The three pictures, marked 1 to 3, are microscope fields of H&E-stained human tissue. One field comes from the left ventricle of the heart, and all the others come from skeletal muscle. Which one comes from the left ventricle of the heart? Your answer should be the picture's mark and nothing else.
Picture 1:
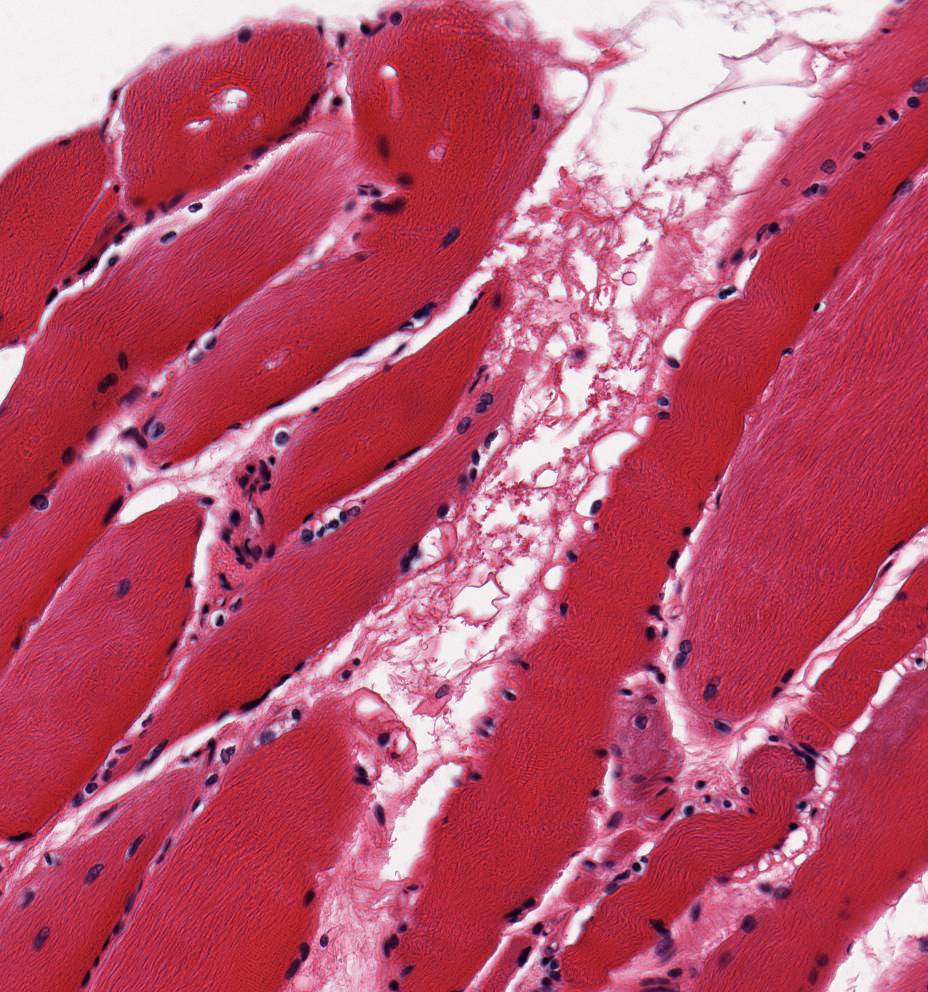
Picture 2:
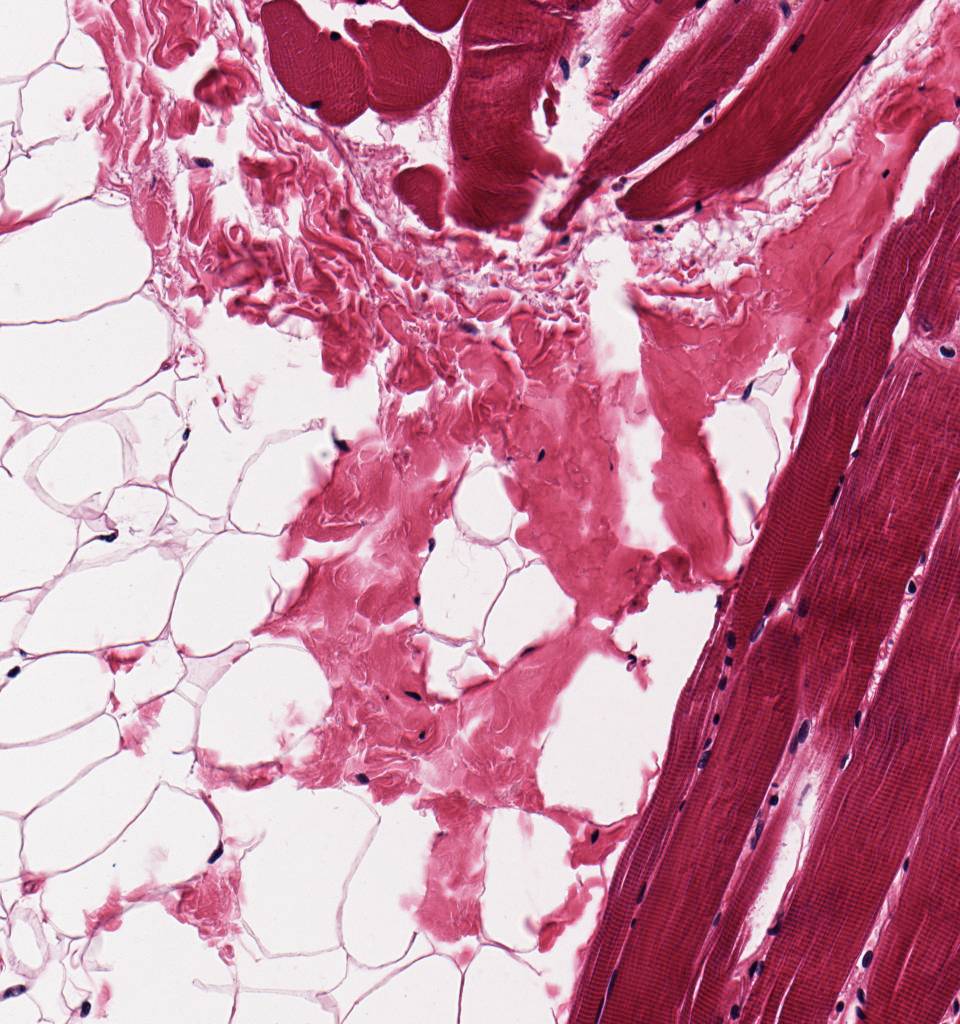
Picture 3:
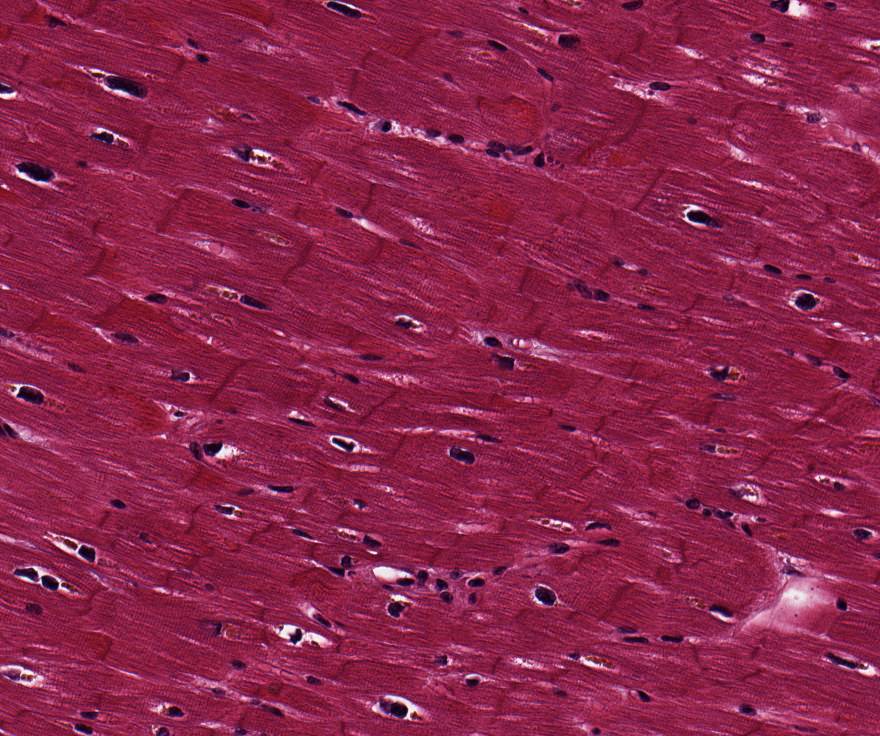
3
